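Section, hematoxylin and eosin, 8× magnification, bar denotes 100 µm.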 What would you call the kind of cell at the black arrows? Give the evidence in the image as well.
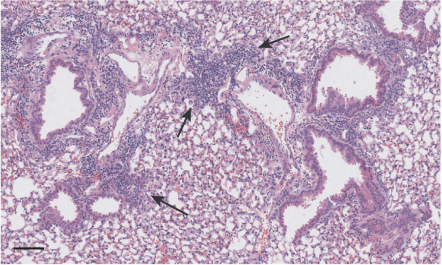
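The arrows point to dense clusters of small, dark purple round nuclei. The clusters lie around airways and vessels within the alveolar tissue. That points to this answer: infiltrating lymphocytes.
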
